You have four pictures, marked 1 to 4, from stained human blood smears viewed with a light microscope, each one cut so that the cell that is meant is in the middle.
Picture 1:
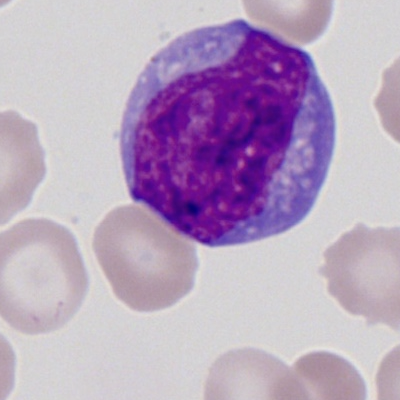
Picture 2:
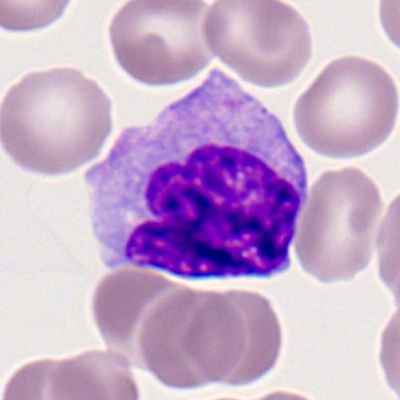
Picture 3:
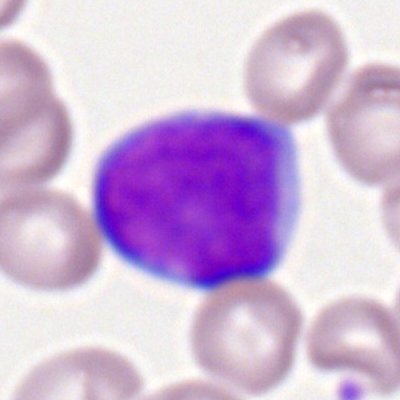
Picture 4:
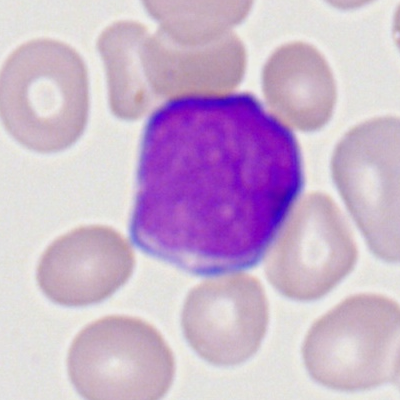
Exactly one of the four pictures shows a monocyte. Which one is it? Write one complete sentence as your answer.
The monocyte is the one in picture 2.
